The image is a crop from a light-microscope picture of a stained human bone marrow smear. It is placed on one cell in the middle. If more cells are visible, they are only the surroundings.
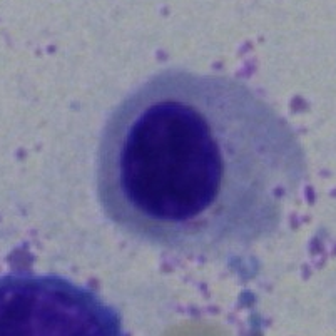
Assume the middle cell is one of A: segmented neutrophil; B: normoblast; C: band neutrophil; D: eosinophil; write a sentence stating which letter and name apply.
Option B is to be chosen, as the central cell is a normoblast.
